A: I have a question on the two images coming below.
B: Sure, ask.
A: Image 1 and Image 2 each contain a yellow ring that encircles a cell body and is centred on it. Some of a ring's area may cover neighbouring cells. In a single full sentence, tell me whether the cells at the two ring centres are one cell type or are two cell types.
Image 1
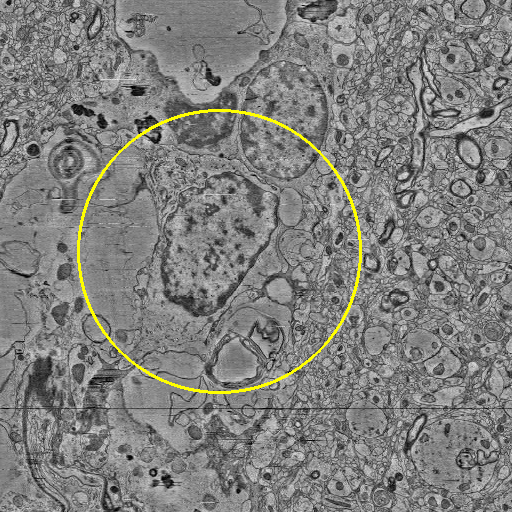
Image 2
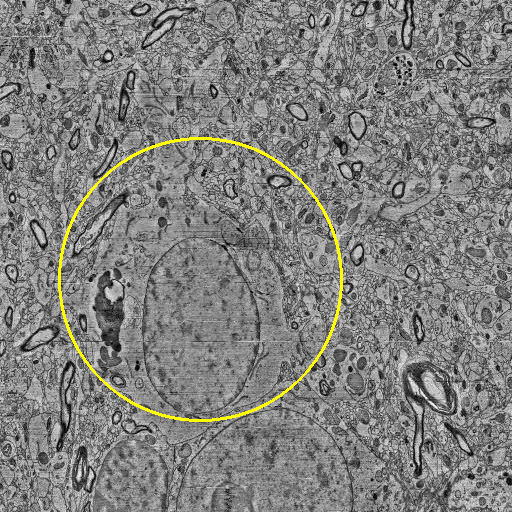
As for the ring-centre cells, the one in Image 1 and the one in Image 2 are two cell types.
